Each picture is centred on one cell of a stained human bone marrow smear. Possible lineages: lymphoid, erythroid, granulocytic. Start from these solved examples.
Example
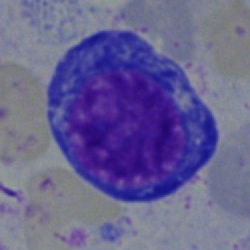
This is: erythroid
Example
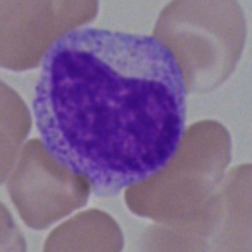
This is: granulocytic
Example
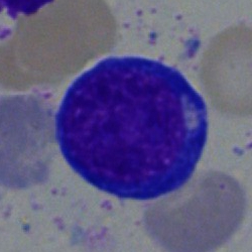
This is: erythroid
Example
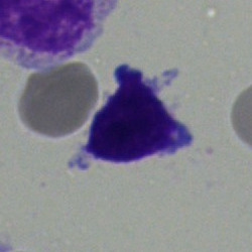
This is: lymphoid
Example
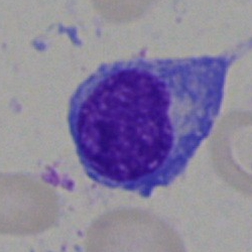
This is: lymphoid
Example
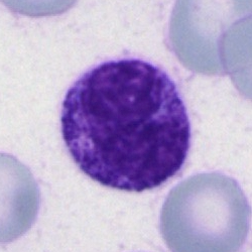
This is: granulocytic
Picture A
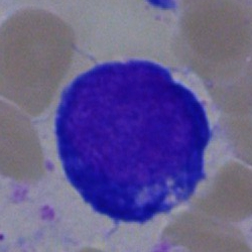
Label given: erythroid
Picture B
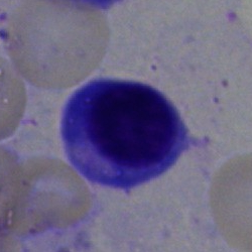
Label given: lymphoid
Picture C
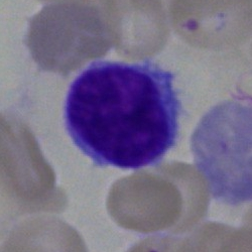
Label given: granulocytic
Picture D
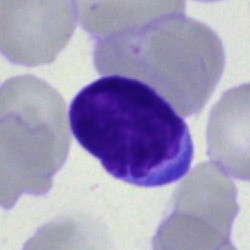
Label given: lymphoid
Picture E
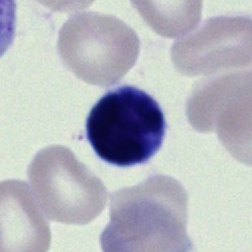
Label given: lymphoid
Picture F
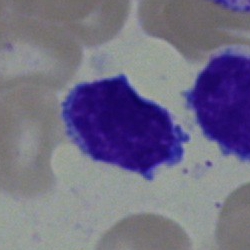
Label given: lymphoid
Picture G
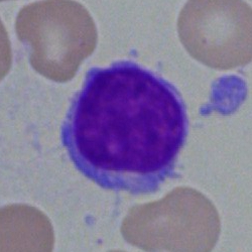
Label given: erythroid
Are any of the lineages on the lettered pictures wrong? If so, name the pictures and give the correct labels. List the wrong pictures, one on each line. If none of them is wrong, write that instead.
C should be lymphoid, not granulocytic
G should be lymphoid, not erythroid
